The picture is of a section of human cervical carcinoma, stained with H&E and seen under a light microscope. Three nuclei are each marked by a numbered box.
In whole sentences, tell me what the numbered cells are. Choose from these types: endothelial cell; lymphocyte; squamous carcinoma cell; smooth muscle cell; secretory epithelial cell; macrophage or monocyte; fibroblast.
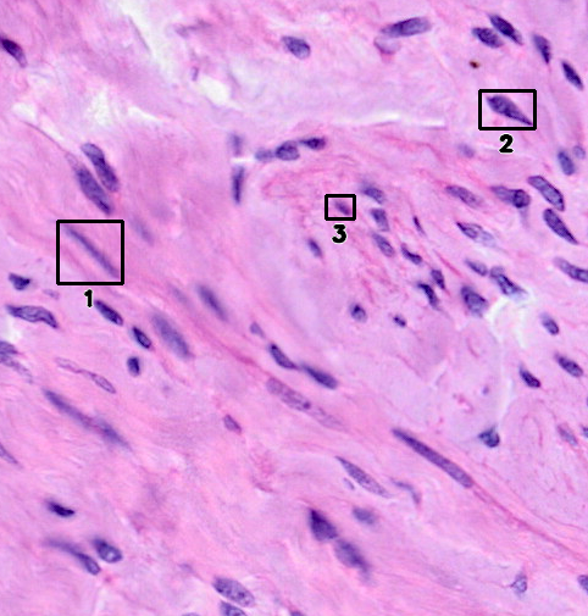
Cell 1 is a fibroblast, cell 2 is a fibroblast and cell 3 is a smooth muscle cell.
